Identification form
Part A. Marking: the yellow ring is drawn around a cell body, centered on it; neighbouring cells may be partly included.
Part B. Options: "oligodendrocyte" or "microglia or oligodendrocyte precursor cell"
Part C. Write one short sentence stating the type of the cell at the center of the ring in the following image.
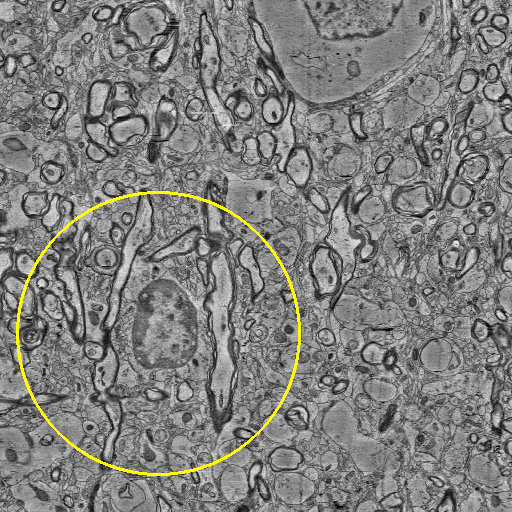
The center of the ring holds a microglial cell or oligodendrocyte precursor cell.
